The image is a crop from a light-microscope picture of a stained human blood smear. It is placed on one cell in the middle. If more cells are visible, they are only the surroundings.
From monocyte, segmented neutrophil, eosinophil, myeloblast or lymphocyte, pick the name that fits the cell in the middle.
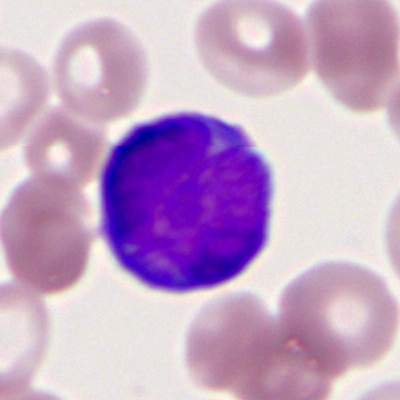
myeloblast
